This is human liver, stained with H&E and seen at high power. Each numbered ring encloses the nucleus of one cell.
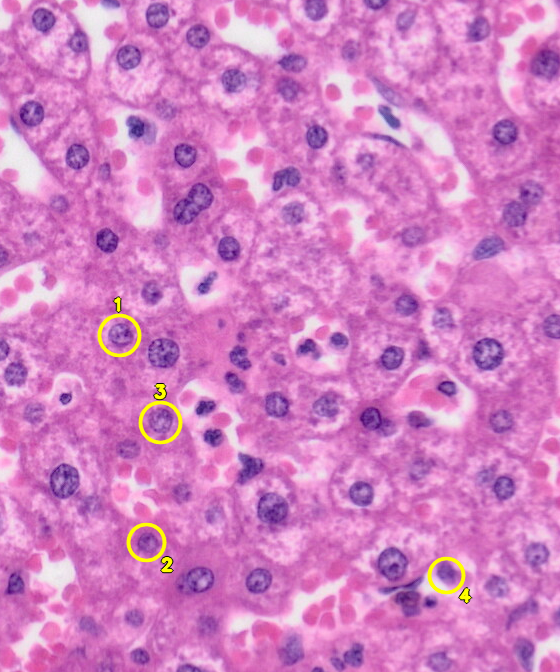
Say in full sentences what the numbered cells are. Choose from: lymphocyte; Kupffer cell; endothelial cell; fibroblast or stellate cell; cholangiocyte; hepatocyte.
Cell 1 is a hepatocyte, cell 2 is a hepatocyte, cell 3 is a hepatocyte and cell 4 is a Kupffer cell.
